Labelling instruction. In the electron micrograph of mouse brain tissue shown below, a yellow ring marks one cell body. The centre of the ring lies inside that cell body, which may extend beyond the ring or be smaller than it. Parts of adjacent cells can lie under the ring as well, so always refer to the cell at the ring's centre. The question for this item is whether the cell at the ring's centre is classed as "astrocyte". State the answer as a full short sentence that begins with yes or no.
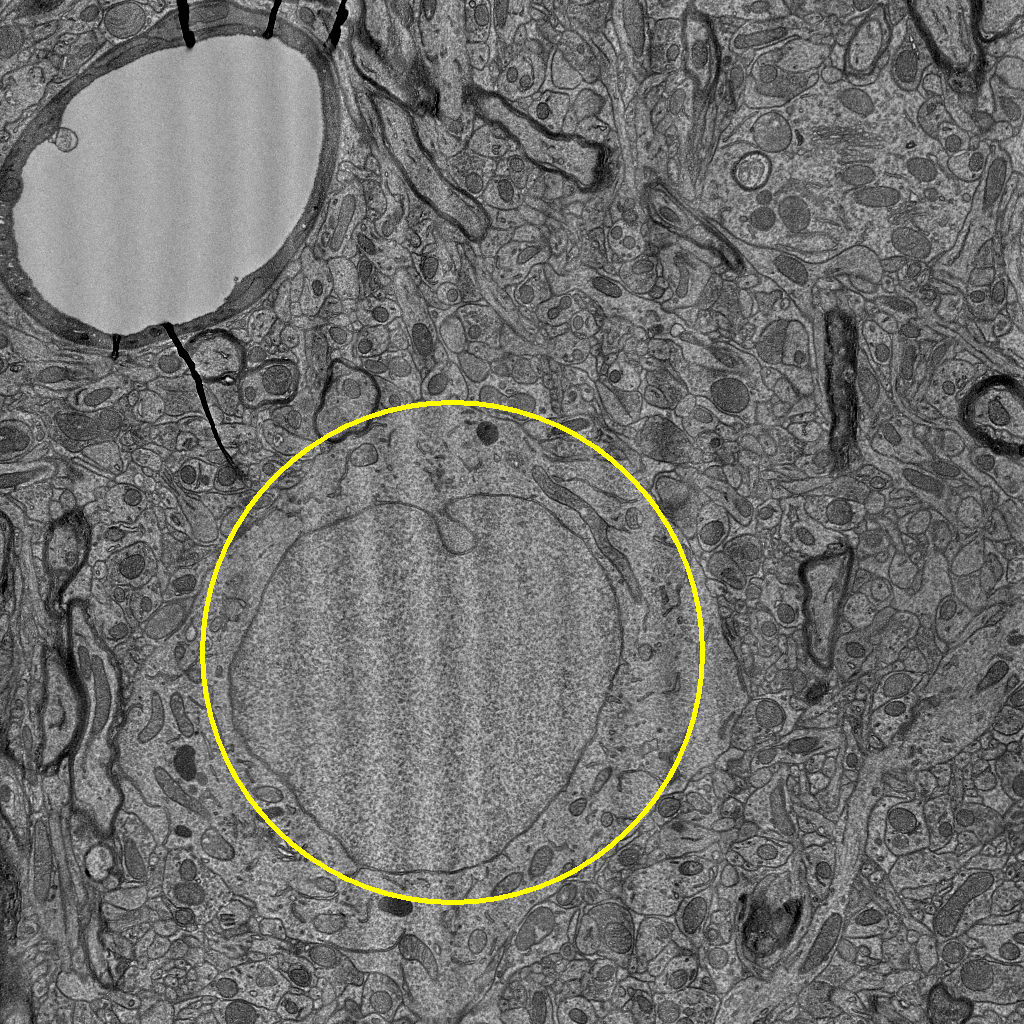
No, the cell at the ring's centre belongs to another class.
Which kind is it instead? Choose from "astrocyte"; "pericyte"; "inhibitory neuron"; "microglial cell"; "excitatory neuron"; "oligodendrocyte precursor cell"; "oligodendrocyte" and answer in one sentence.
The cell enclosed by the ring is an excitatory neuron.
